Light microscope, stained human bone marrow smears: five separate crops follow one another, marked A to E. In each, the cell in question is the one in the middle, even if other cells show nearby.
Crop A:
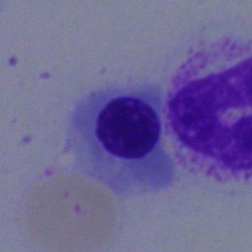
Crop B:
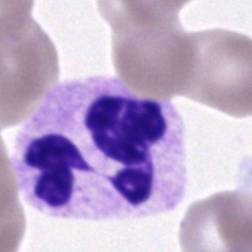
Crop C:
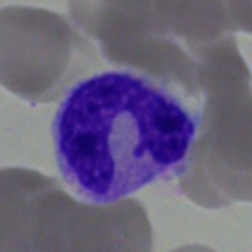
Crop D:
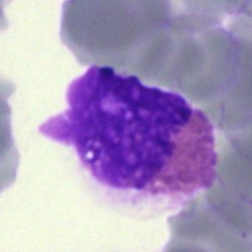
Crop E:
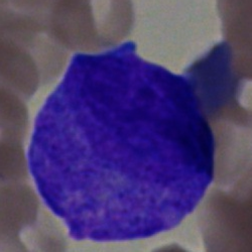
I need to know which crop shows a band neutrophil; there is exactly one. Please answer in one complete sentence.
Crop C is the one in the set with a band neutrophil at the center.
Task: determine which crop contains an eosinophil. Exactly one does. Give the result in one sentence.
It is crop D, not any other, that shows an eosinophil.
